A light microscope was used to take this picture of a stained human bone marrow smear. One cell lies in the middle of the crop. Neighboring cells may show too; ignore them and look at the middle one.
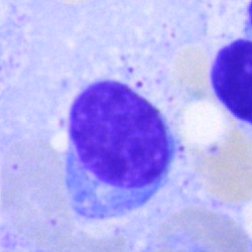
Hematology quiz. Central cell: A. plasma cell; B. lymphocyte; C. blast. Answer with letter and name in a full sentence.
The middle cell of the crop is a lymphocyte; accordingly, option B is correct.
